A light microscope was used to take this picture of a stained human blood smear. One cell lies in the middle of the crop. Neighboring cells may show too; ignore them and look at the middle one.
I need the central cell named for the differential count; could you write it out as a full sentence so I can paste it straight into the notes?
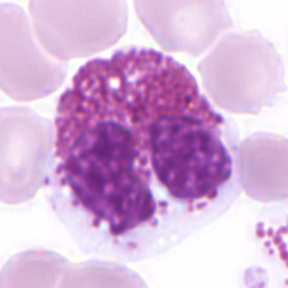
The central cell, amid any neighbouring cells, is an eosinophil.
